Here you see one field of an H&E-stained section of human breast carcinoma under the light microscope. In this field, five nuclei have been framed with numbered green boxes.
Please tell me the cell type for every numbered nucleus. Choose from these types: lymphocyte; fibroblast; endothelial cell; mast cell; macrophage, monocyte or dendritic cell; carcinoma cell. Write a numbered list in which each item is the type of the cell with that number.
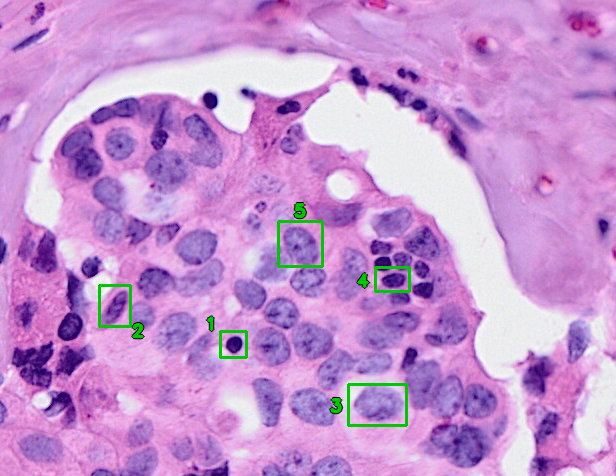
1. lymphocyte
2. carcinoma cell
3. carcinoma cell
4. lymphocyte
5. carcinoma cell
